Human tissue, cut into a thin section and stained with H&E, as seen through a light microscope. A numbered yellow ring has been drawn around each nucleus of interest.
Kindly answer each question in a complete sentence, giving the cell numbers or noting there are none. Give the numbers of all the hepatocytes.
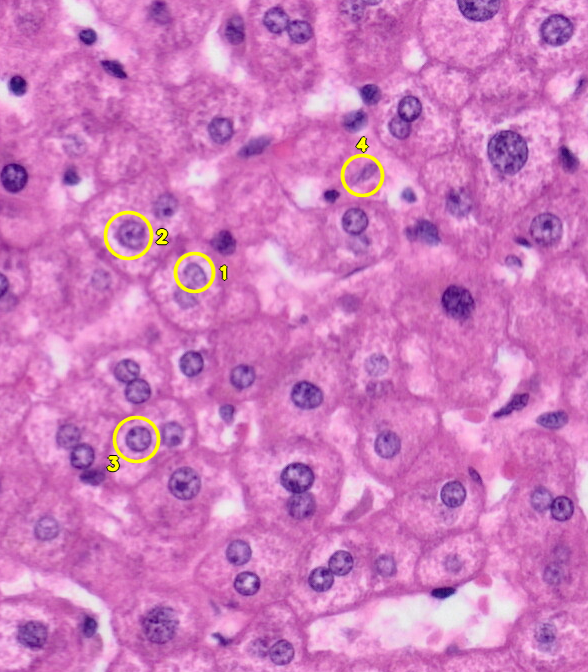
The cells which carry the numbers 1, 2 and 3 are hepatocytes.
